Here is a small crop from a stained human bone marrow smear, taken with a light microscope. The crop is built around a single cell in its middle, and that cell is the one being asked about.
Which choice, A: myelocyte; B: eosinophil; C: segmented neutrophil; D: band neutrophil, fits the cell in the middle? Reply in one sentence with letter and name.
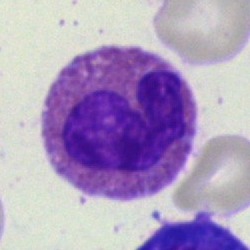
The cell at the centre is an eosinophil, and option B accordingly is correct.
